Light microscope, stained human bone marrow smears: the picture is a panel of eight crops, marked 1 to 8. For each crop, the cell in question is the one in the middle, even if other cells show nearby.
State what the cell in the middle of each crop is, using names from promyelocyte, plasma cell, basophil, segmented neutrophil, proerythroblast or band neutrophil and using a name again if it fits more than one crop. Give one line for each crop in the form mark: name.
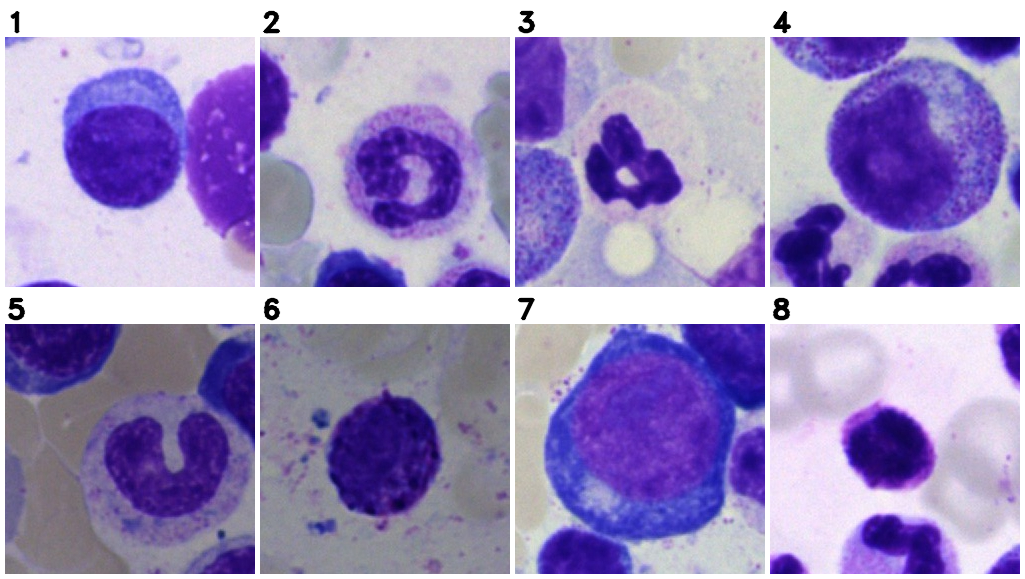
1: plasma cell
2: segmented neutrophil
3: segmented neutrophil
4: promyelocyte
5: band neutrophil
6: basophil
7: proerythroblast
8: basophil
